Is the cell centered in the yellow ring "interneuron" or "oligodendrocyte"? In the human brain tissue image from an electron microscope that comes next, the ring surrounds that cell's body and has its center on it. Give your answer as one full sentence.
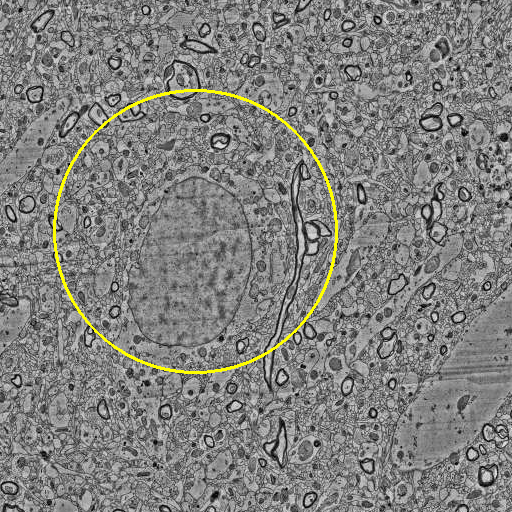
The cell at the center of the yellow ring is an interneuron in the micrograph.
